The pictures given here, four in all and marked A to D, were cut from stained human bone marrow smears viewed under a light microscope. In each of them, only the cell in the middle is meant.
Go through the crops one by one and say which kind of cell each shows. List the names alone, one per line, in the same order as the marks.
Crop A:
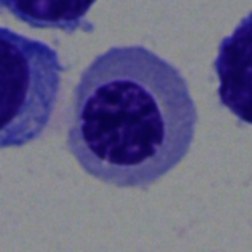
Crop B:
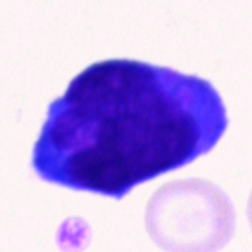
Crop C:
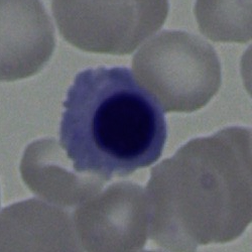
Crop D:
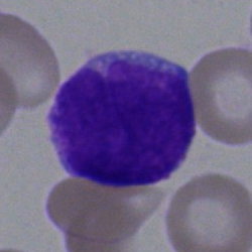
erythroblast
blast
erythroblast
blast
